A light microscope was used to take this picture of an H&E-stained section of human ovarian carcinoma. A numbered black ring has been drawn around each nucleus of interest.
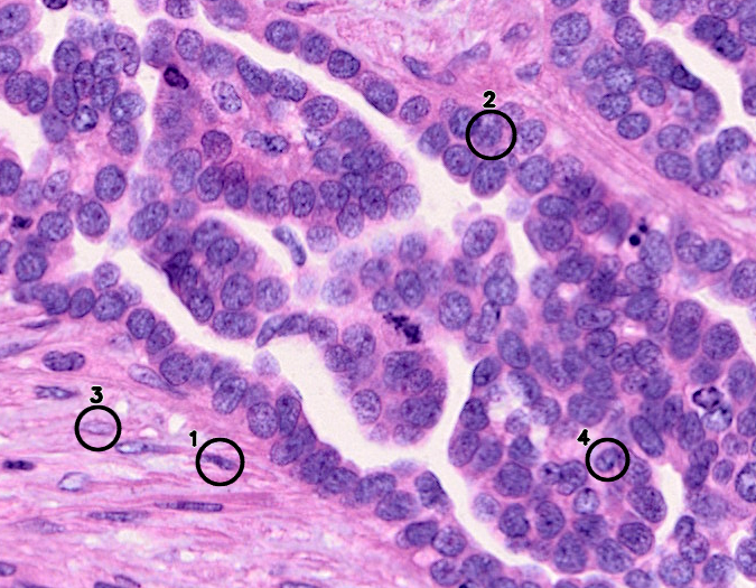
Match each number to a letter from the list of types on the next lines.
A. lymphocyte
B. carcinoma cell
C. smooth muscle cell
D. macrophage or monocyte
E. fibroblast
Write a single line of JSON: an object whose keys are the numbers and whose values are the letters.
{"1": "E", "2": "B", "3": "E", "4": "D"}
